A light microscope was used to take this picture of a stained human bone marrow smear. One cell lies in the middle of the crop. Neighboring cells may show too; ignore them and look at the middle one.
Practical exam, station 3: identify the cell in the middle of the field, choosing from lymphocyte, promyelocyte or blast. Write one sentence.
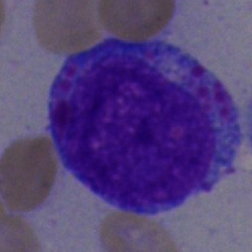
Centrally within this crop lies a promyelocyte.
